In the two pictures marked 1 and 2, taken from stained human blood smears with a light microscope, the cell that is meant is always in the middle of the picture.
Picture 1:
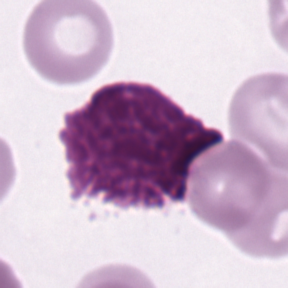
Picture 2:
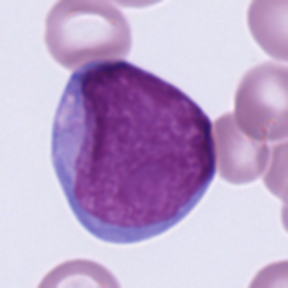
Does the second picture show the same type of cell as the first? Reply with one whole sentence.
No, picture 1 shows a smudge cell and picture 2 shows a myeloblast.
